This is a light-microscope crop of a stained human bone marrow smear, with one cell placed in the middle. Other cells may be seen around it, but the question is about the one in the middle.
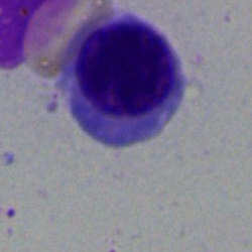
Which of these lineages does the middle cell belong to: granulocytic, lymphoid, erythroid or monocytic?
erythroid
